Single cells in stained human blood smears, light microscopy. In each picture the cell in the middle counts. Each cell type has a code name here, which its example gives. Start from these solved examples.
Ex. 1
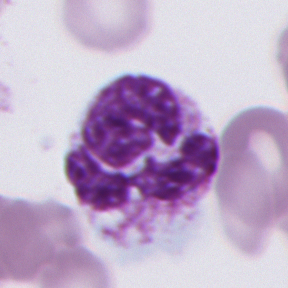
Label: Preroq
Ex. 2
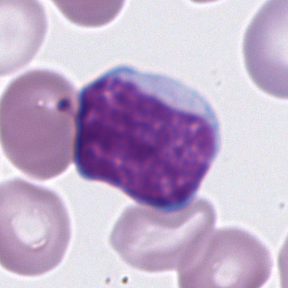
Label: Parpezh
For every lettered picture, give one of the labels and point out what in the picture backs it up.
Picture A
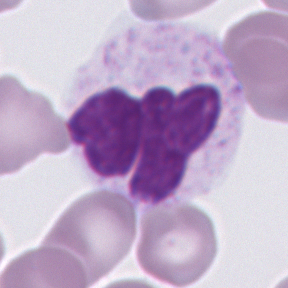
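Preroq. The nucleus is folded into several lobed portions separated by deep clefts.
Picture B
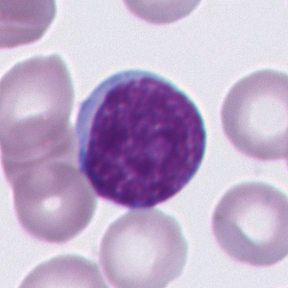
Parpezh. The cytoplasm forms only a thin rim around the nucleus.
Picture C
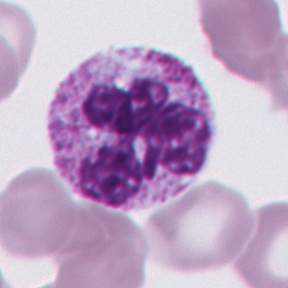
Preroq. The nucleus is divided into several separate lobes.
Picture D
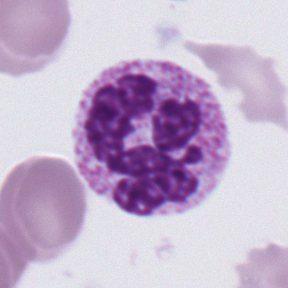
Preroq. The nucleus is split into many separate lobes arranged in a loose ring.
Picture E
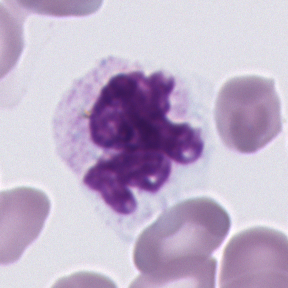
Preroq. The nucleus is irregular, folded into several twisted lobes.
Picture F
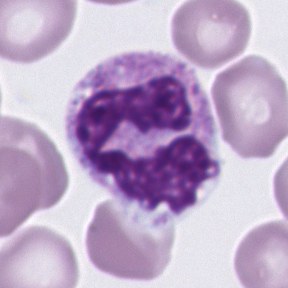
Preroq. The nucleus forms two broad masses, one lying above the other.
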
